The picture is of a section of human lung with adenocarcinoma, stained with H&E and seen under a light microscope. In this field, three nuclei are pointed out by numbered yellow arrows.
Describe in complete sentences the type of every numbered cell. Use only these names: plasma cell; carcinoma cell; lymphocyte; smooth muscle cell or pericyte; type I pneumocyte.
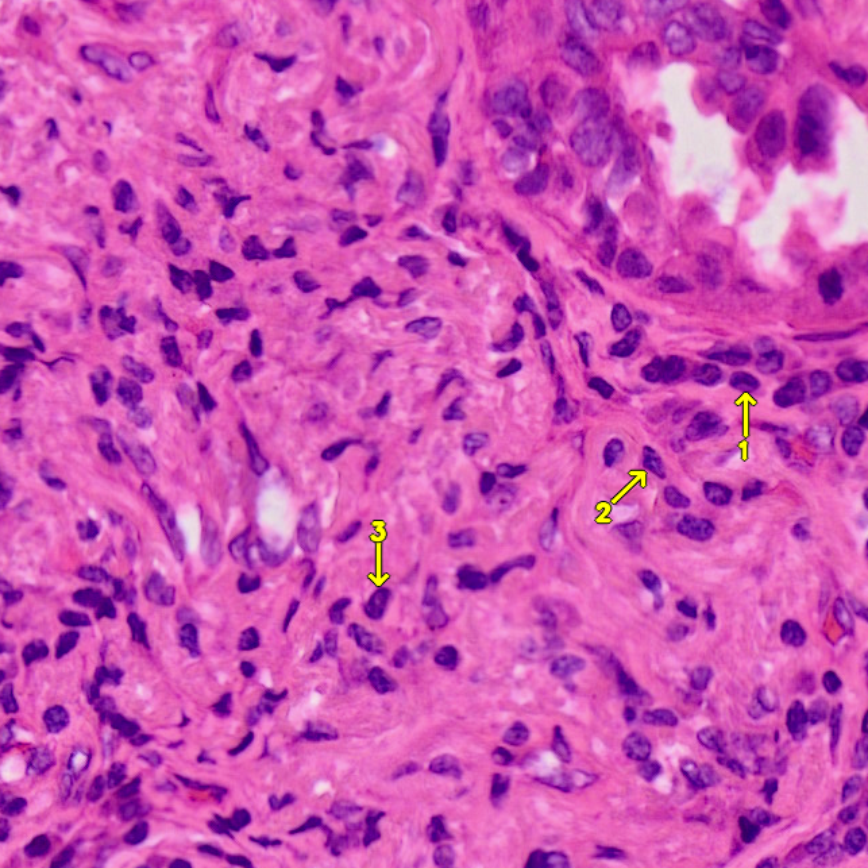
Cell 1 is a lymphocyte, cell 2 is a lymphocyte and cell 3 is a plasma cell.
